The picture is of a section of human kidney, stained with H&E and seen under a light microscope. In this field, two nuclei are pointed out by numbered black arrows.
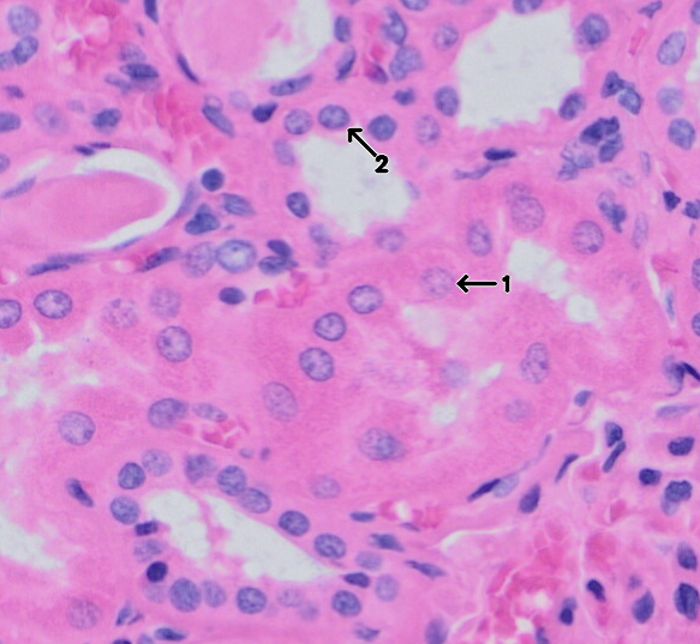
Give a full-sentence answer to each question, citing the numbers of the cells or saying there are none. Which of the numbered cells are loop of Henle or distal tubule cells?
Among the cells marked with numbers, the only one that is a loop of Henle or distal tubule cell is number 2.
